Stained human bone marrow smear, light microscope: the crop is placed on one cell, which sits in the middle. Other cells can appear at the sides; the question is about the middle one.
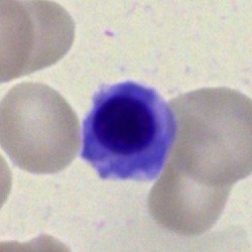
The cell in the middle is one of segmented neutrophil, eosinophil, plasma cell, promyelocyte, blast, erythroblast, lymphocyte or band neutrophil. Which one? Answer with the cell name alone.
erythroblast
